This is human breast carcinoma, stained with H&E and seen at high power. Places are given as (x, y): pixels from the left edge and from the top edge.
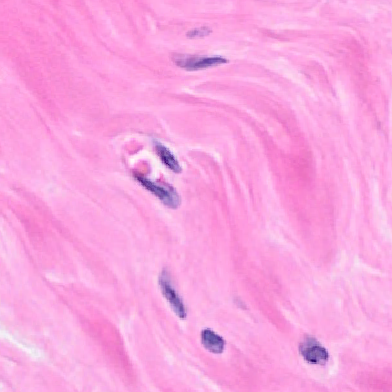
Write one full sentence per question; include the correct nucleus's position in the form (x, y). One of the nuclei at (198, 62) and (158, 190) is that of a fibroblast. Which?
Only the nucleus at (198, 62), of the two, belongs to a fibroblast.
